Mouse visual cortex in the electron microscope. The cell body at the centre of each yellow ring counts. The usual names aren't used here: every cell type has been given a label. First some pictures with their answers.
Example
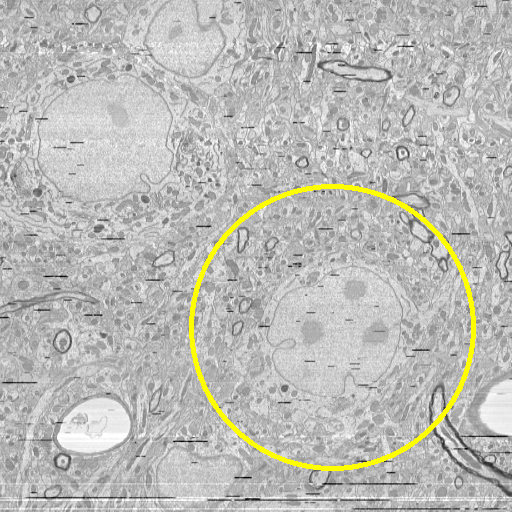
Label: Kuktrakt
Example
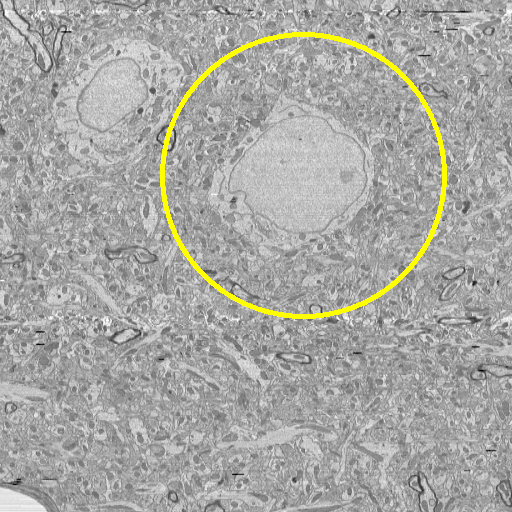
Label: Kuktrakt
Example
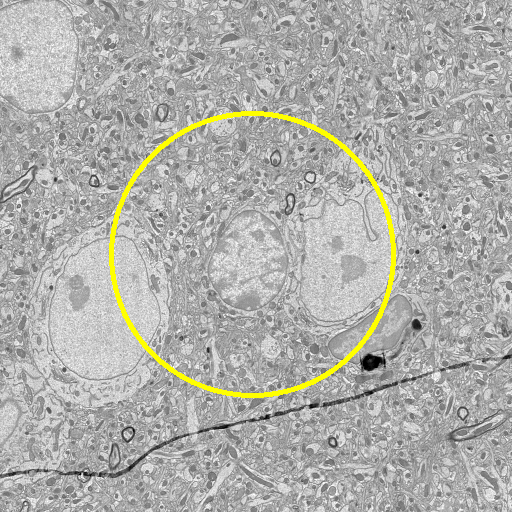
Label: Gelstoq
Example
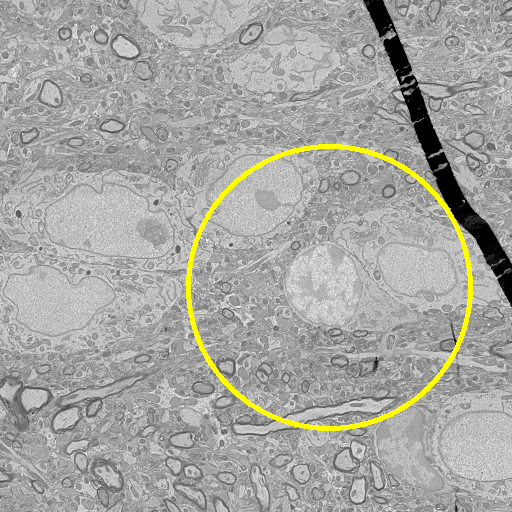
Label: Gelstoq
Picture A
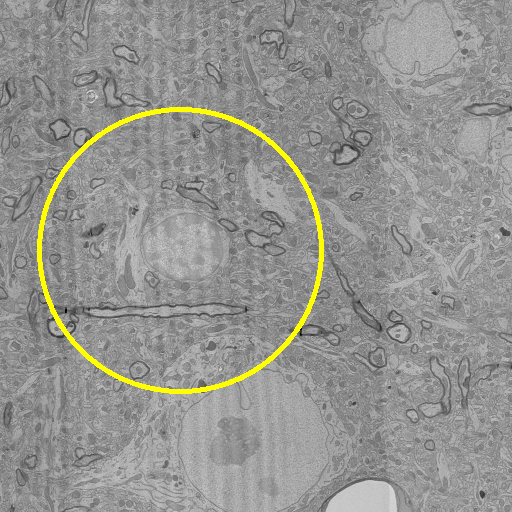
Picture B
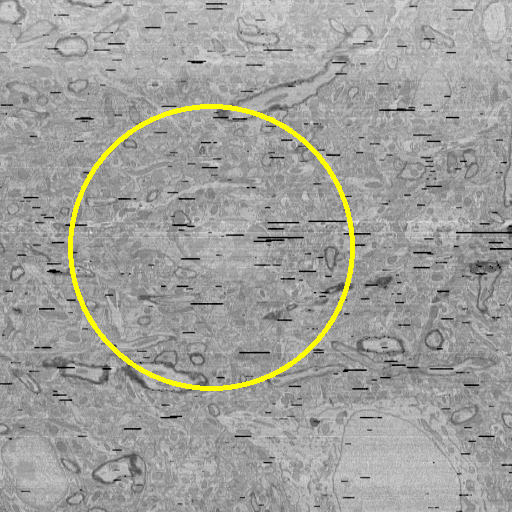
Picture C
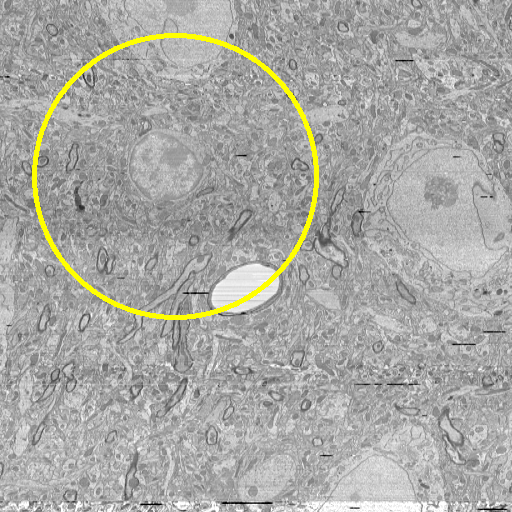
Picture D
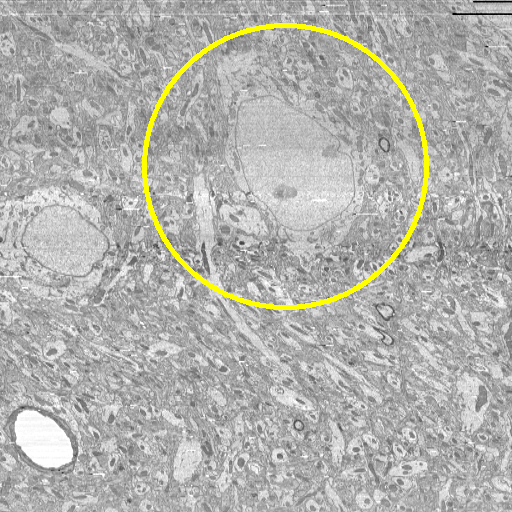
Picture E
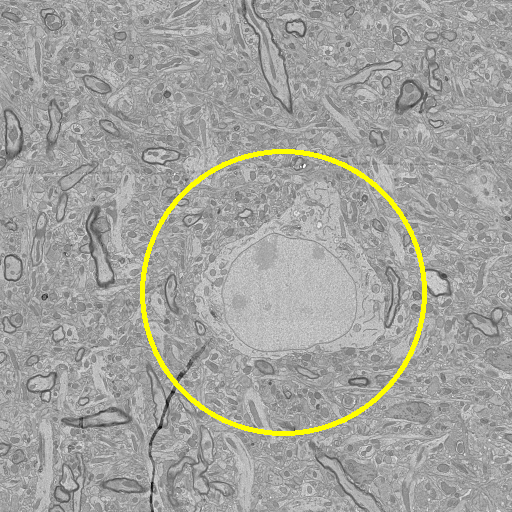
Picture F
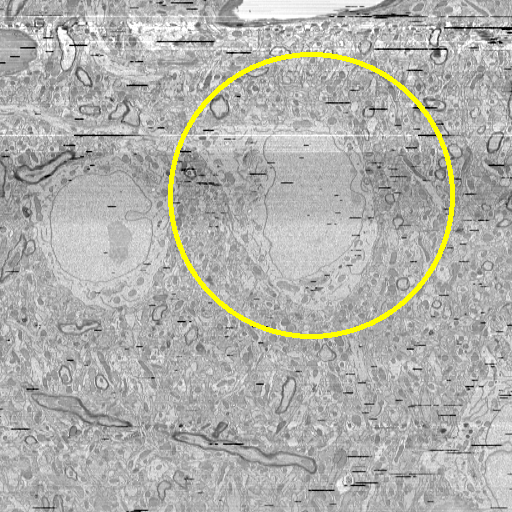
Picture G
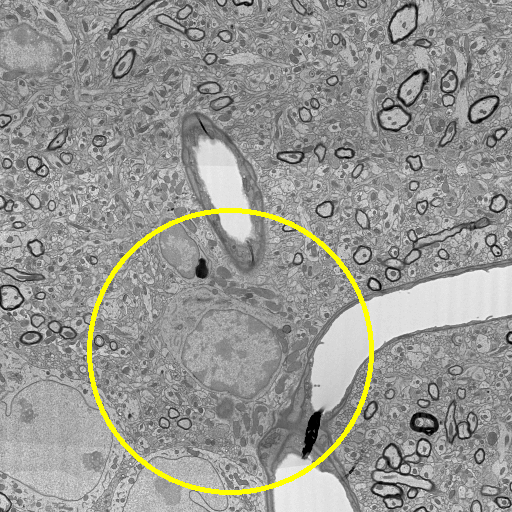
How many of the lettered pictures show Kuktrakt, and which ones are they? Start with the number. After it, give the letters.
3, namely D, E, F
